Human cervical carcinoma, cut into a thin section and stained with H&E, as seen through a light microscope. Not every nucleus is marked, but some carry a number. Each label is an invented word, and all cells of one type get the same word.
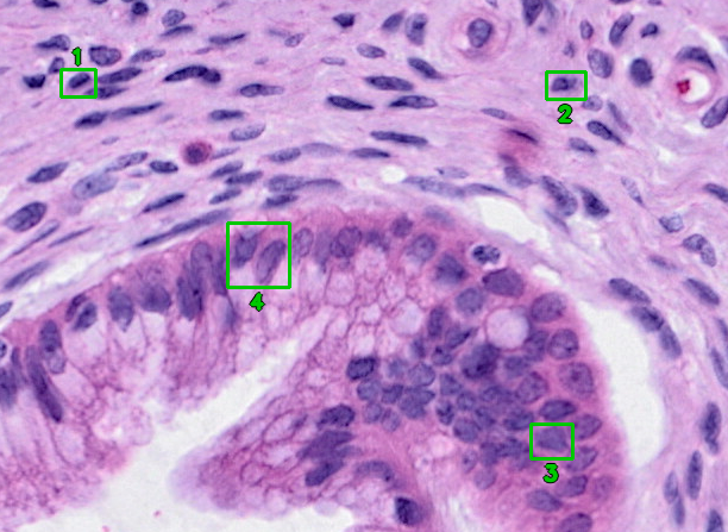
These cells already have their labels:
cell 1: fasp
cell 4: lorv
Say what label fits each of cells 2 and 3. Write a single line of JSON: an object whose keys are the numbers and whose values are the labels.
{"2": "fasp", "3": "lorv"}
